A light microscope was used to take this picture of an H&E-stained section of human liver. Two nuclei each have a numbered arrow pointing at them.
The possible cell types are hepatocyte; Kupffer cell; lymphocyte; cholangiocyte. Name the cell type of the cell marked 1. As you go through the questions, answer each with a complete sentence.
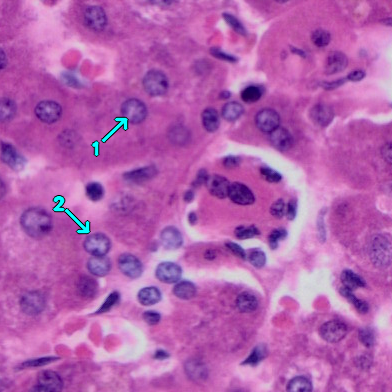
The nucleus marked 1 is the nucleus of a hepatocyte.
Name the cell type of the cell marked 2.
In this section, the cell tagged 2 is a cholangiocyte.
